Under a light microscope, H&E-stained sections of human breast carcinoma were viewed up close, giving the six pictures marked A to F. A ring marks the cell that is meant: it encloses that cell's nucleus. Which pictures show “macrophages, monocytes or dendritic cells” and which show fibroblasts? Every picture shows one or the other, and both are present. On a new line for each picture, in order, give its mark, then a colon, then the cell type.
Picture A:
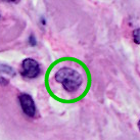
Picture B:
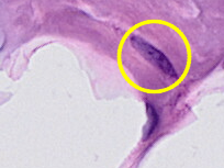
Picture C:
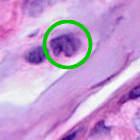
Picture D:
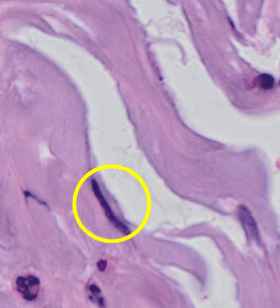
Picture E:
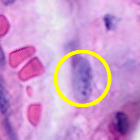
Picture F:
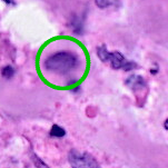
A: macrophage, monocyte or dendritic cell
B: fibroblast
C: macrophage, monocyte or dendritic cell
D: fibroblast
E: fibroblast
F: macrophage, monocyte or dendritic cell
